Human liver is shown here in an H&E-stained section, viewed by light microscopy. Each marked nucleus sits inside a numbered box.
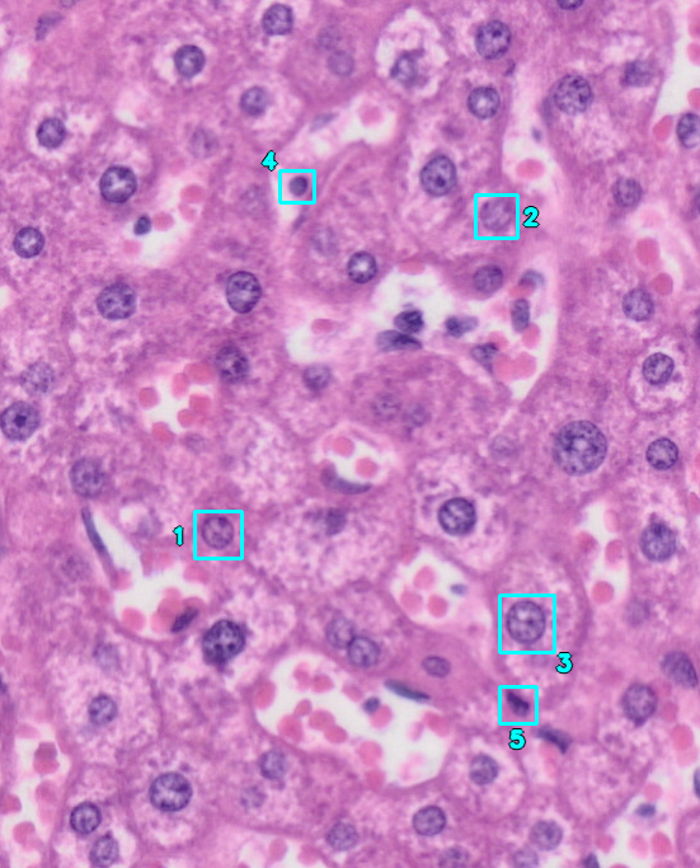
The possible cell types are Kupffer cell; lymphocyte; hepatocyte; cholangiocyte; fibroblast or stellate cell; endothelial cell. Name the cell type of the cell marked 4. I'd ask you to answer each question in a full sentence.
The nucleus marked 4 is the nucleus of a lymphocyte.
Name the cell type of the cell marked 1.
The numbered cell 1 is identified here as a hepatocyte.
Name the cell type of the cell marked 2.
In this section, number 2 marks a hepatocyte.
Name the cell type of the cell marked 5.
Looking at the numbered marks, cell 5 is a fibroblast or stellate cell.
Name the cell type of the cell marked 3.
The cell assigned the number 3 is a hepatocyte.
